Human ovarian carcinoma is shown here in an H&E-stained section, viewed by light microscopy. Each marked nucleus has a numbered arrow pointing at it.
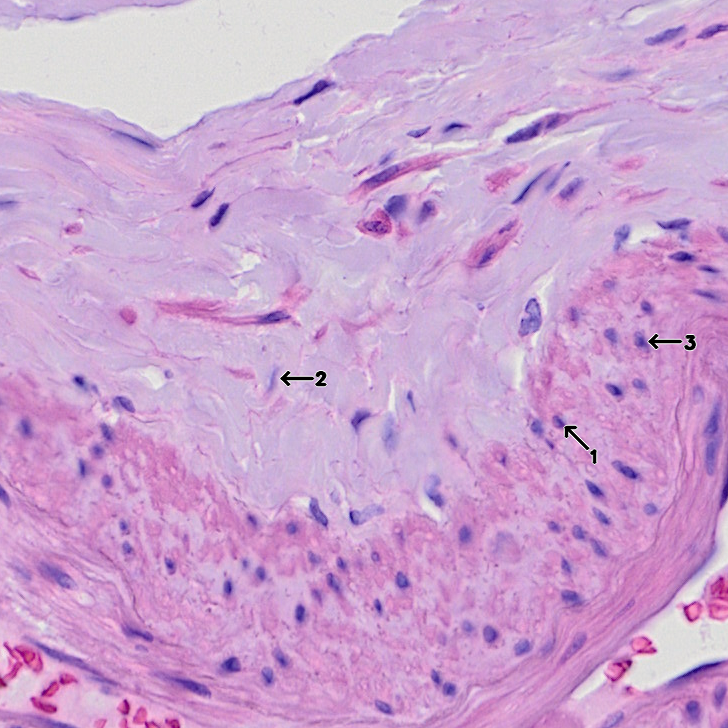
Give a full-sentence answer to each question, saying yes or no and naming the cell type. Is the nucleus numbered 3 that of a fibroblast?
No, cell 3 is correctly identified as a smooth muscle cell and not as a fibroblast.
